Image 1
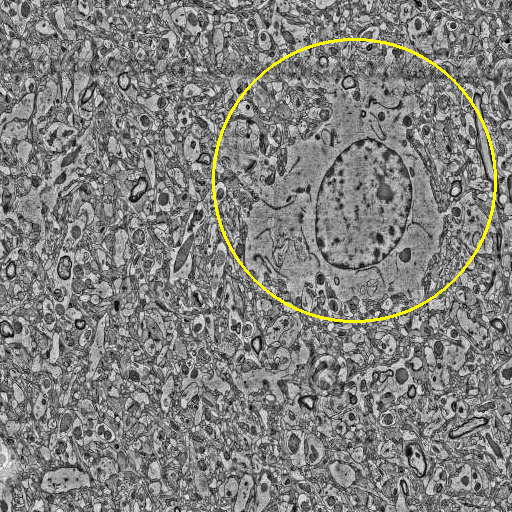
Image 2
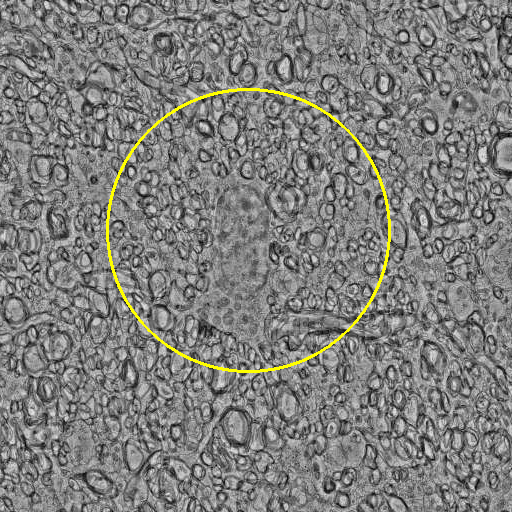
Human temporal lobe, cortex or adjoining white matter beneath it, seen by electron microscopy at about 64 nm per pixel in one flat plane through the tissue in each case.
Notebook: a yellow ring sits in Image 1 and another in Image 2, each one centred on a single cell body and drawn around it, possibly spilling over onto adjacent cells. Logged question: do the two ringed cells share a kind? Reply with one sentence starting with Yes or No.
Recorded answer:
No, the centre cells inside the rings of Image 1 and Image 2 are of two kinds.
